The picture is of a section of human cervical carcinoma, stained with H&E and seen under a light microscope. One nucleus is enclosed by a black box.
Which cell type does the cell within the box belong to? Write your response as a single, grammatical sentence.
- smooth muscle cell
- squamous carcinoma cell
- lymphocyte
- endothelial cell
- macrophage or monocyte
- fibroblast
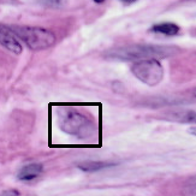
Histopathologically, the cell within the box is a macrophage or monocyte.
